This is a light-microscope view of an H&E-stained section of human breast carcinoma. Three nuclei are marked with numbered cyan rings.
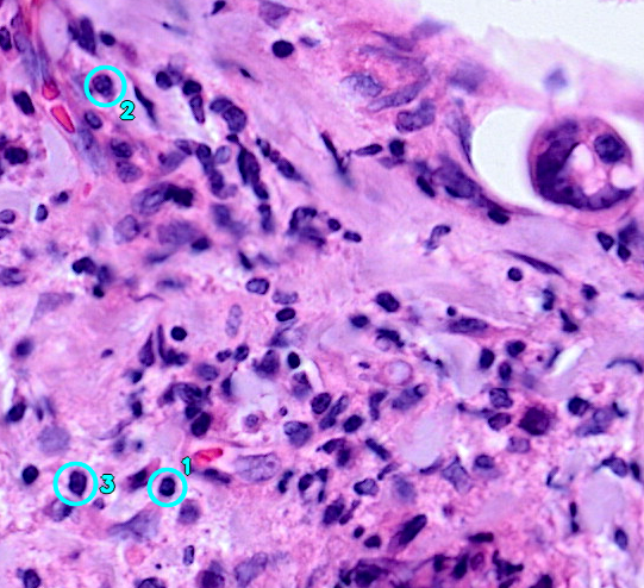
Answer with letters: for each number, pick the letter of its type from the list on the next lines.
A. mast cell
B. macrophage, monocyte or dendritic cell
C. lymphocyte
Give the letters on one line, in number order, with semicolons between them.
C; A; C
